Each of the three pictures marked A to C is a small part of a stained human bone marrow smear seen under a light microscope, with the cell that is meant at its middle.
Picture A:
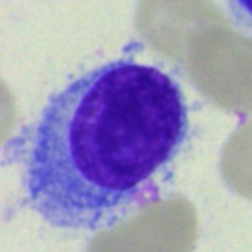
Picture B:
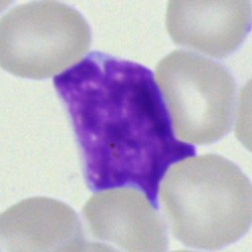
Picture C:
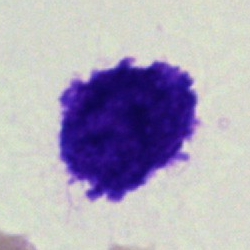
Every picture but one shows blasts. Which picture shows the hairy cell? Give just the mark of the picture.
A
